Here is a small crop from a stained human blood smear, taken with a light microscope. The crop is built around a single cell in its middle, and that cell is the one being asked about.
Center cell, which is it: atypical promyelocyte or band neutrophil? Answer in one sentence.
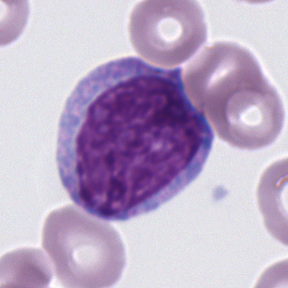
At the middle of the frame sits an atypical promyelocyte.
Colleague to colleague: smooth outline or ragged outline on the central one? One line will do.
Its periphery is smooth, and no projections arise from it.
